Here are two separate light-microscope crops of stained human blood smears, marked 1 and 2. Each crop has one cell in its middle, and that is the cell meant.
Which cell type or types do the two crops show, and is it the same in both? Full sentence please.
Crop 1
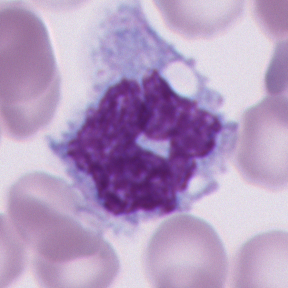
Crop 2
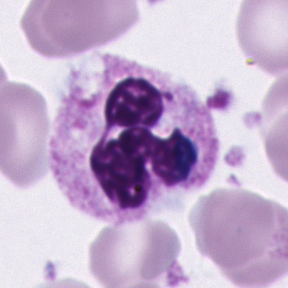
No, crop 1 is where a monocyte is shown, and crop 2 is where a segmented neutrophil is shown.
